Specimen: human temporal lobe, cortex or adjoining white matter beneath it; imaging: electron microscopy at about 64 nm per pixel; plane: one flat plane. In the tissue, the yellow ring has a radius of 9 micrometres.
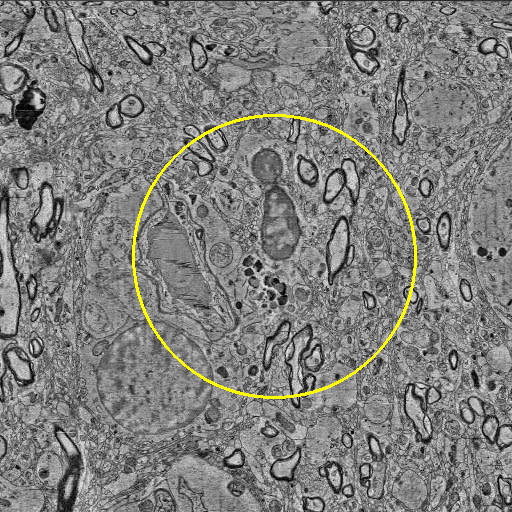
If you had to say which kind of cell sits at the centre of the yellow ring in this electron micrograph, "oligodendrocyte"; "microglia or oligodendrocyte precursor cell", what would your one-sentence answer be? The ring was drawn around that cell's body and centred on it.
The cell sitting at the centre of the ring is a microglial cell or oligodendrocyte precursor cell.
